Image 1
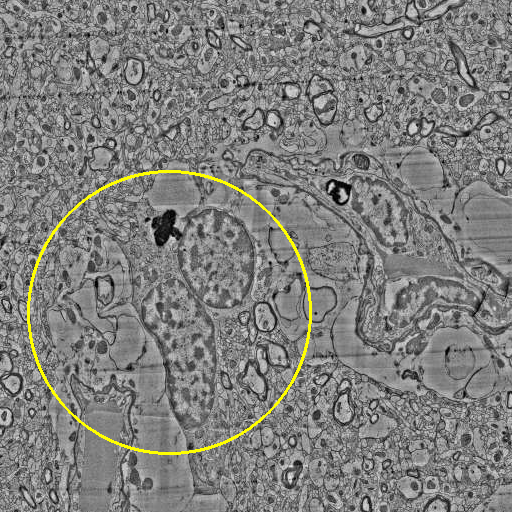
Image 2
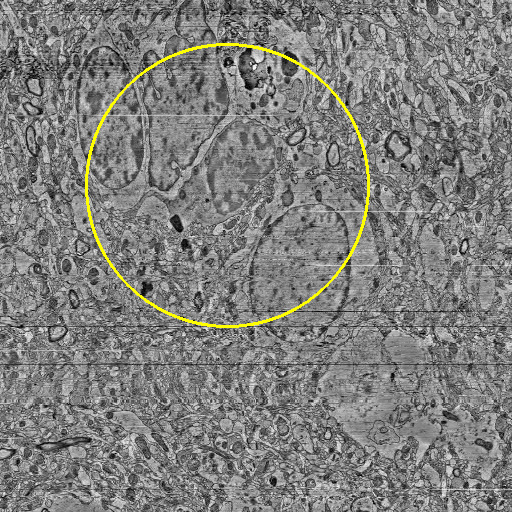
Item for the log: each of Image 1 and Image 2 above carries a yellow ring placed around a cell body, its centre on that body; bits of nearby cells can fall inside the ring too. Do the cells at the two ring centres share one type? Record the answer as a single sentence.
Yes, the two cells at the ring centres in Image 1 and Image 2 share one type.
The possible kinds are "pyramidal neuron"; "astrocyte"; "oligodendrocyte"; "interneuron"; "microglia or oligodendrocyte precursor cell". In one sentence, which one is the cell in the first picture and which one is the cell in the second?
Each cell at the centre of a ring is an oligodendrocyte.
